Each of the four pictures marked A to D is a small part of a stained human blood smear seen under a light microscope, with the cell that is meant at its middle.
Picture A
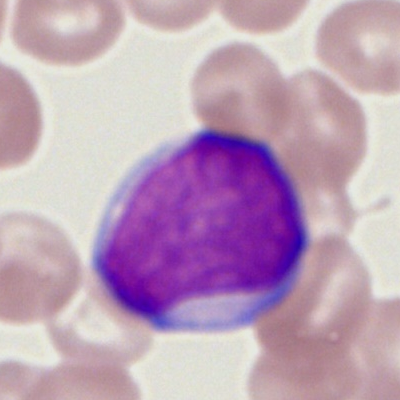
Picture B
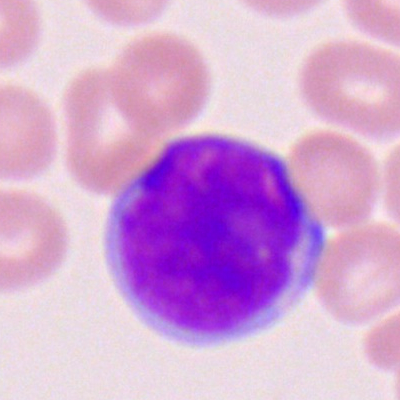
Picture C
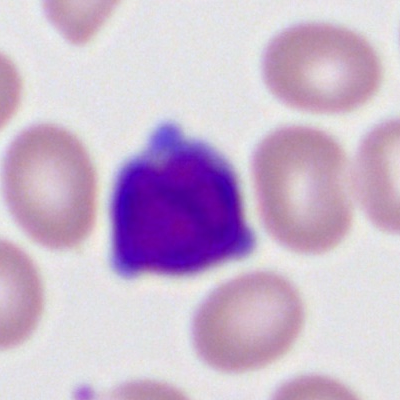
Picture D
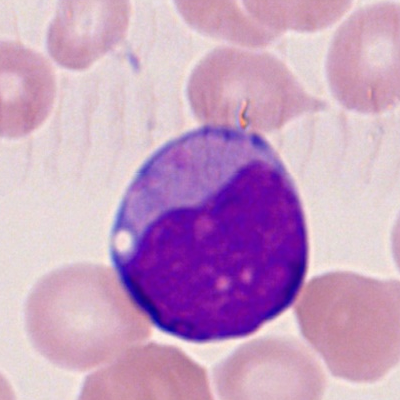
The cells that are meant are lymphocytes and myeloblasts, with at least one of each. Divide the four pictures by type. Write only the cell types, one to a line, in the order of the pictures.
myeloblast
myeloblast
lymphocyte
myeloblast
